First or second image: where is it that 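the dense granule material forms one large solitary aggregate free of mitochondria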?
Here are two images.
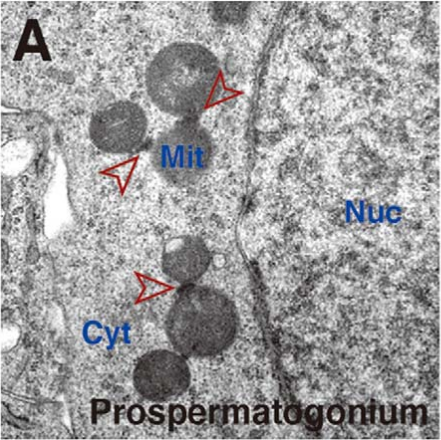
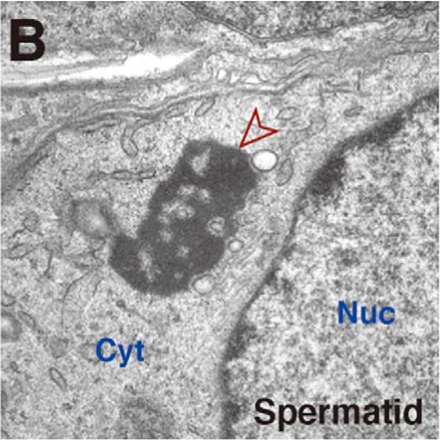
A: The second image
